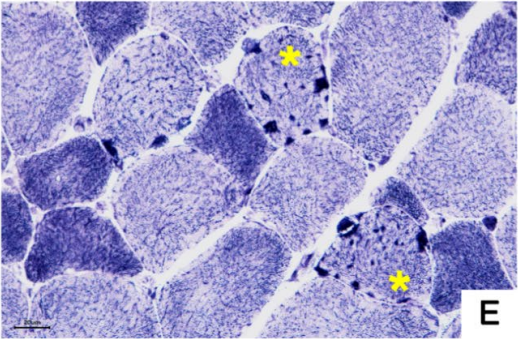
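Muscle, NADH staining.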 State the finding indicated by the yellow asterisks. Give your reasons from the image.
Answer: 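Deeply stained granular aggregates. Fibers beside the asterisks hold coarse dark blue clumps scattered in their interior. Neighbouring fibers show a finer, more even staining.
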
